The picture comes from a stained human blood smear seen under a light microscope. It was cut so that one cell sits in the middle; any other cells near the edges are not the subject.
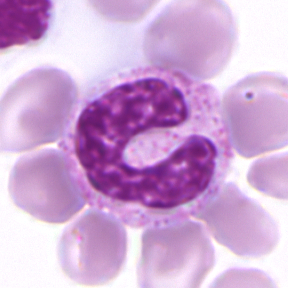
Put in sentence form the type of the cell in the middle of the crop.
For this crop, the central cell is a band neutrophil.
